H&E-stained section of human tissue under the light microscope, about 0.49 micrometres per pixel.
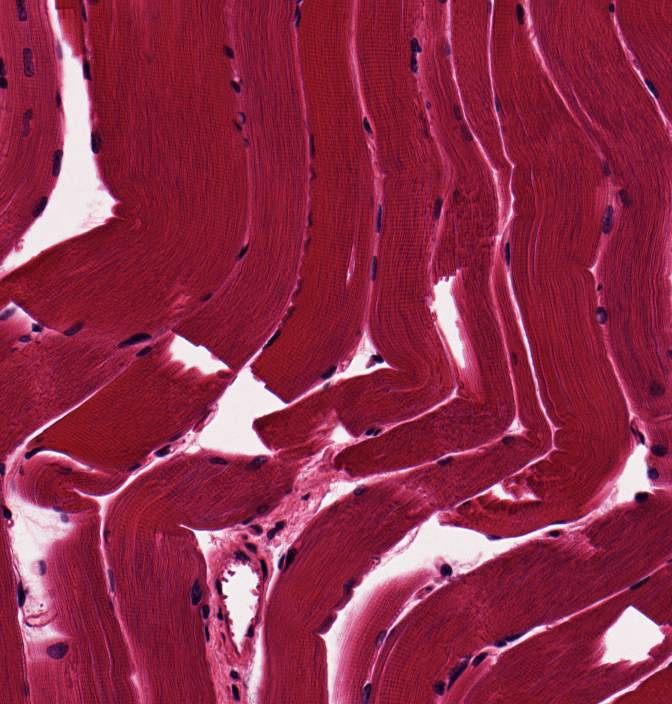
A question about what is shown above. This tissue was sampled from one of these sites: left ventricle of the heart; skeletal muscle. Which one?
skeletal muscle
